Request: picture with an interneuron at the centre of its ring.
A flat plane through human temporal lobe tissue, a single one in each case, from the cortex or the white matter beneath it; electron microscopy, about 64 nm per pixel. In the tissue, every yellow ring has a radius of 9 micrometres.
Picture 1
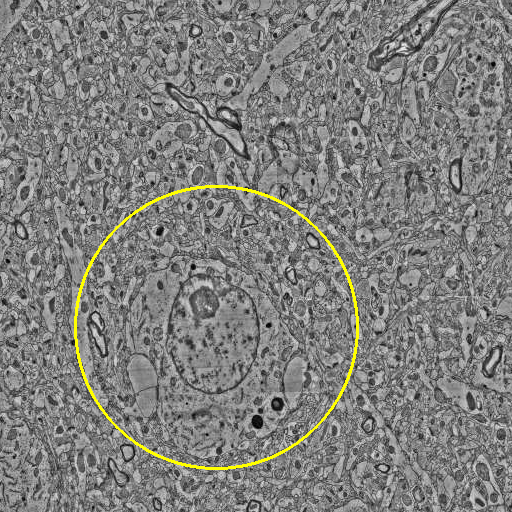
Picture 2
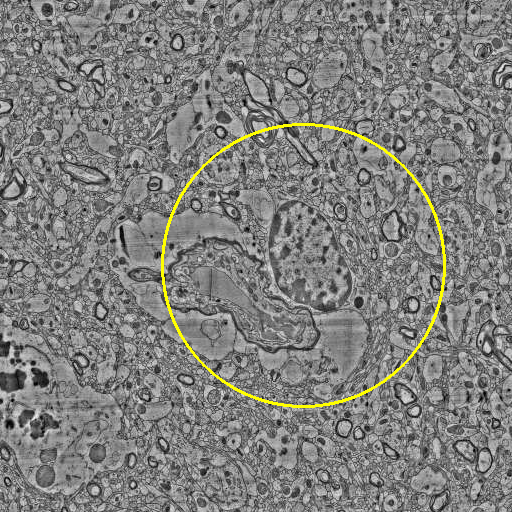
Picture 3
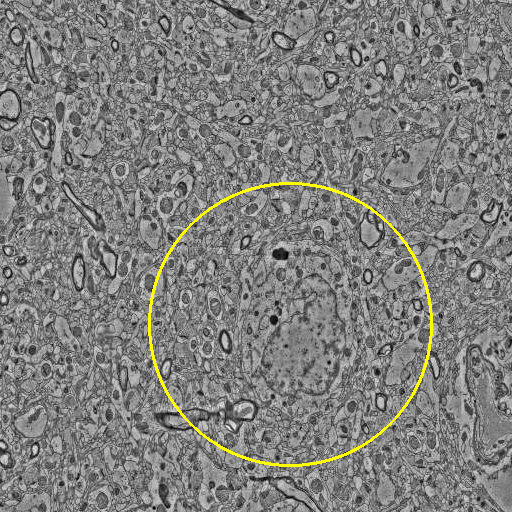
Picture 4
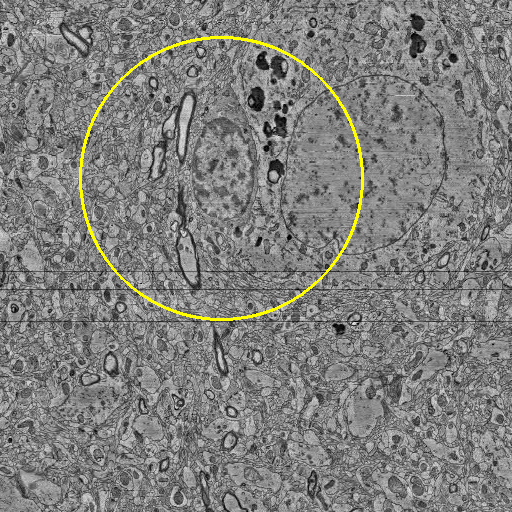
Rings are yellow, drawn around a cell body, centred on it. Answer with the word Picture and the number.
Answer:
Picture 3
